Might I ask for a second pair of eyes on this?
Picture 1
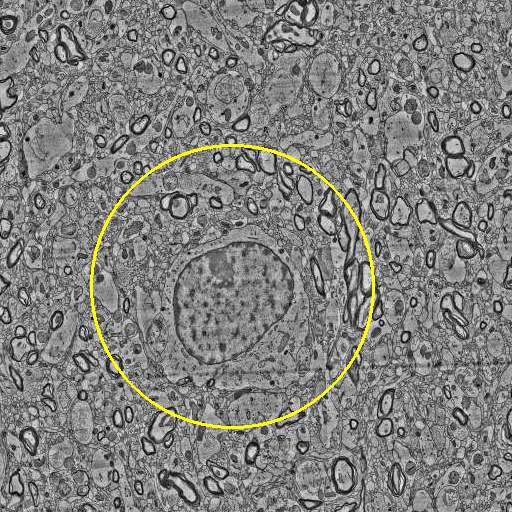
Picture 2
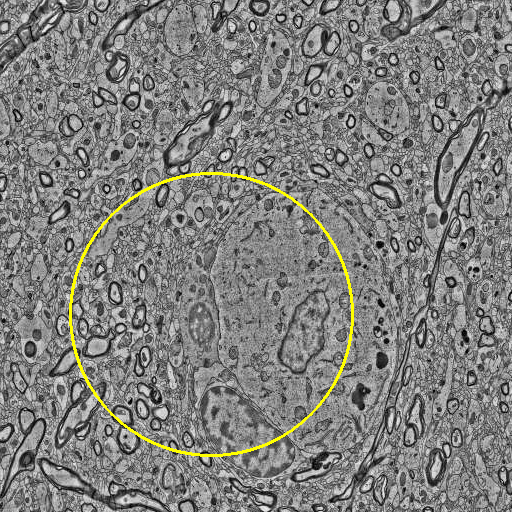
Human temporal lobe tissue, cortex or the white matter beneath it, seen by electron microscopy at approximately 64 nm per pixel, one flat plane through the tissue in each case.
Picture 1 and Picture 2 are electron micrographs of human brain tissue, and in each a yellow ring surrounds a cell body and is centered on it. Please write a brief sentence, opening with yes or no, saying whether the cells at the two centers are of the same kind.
No, the cells are of two kinds.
